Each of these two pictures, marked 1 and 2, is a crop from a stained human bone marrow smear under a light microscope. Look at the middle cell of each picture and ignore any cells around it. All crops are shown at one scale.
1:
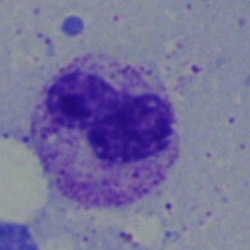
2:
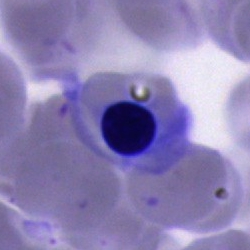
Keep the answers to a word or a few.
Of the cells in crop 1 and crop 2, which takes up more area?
1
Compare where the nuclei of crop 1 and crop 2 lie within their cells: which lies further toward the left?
2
